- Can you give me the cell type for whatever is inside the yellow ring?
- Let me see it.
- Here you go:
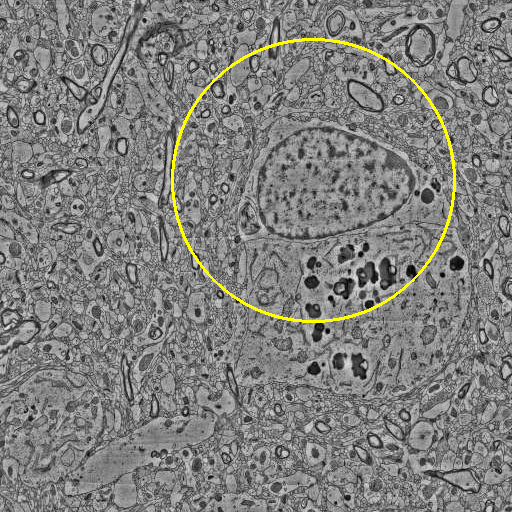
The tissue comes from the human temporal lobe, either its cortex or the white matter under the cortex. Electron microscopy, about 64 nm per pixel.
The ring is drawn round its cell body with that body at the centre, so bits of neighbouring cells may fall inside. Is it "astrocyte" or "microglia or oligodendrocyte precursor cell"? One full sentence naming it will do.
The cell body in the middle of the ring in this picture belongs to a microglial cell or oligodendrocyte precursor cell.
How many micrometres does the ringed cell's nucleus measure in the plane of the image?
The nucleus appears roughly 10 by 7 micrometres in this plane.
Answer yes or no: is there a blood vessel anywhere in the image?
No.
